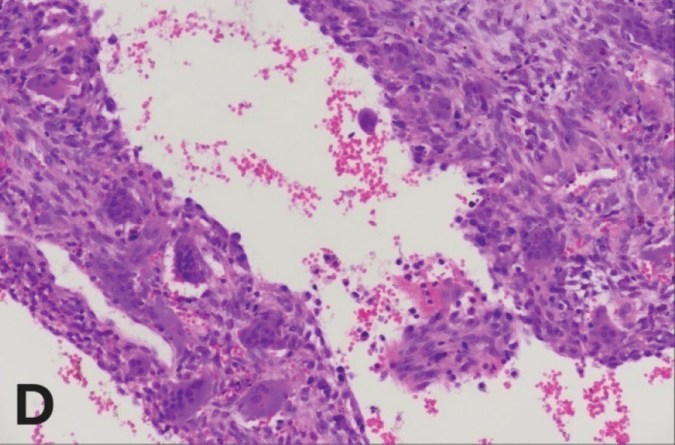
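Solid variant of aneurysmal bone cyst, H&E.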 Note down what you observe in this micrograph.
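The space holds scattered red blood cells and has no lining of its own other than the surrounding cellular tissue. Giant cells with pink-purple cytoplasm and several nuclei lie at and near the edge of the space, among smaller spindle and oval mononuclear cells.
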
